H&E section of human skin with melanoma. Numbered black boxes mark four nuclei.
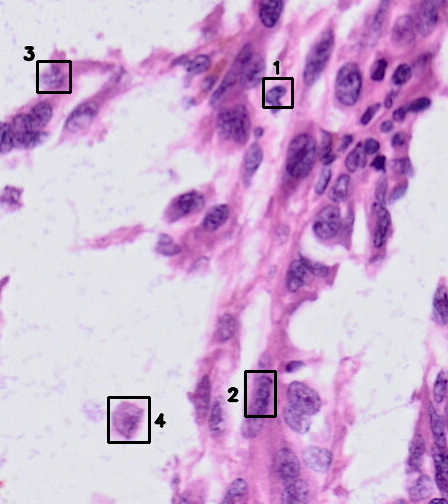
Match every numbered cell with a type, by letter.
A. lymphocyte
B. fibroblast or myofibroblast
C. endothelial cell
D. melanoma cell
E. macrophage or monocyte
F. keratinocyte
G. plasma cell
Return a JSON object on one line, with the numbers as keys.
{"1": "A", "2": "D", "3": "D", "4": "D"}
